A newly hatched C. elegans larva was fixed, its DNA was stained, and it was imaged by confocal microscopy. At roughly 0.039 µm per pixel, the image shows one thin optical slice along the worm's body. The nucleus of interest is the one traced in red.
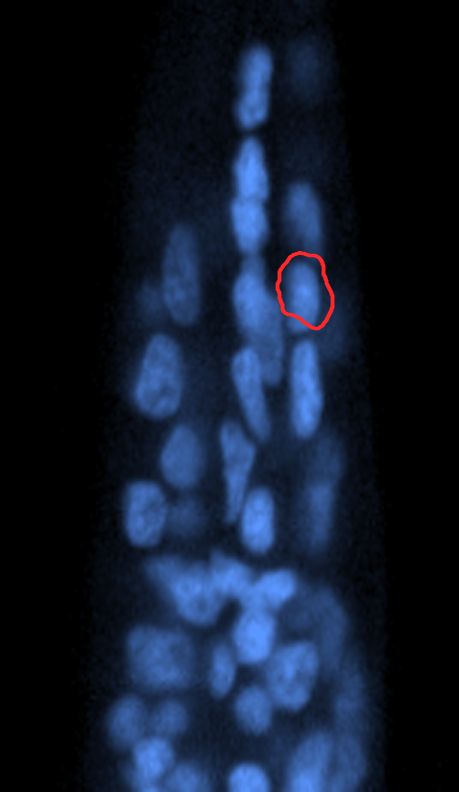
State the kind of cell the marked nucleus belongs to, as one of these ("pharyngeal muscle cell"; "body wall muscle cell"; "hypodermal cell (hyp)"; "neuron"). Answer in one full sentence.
It is the nucleus of a hypodermal cell (hyp).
